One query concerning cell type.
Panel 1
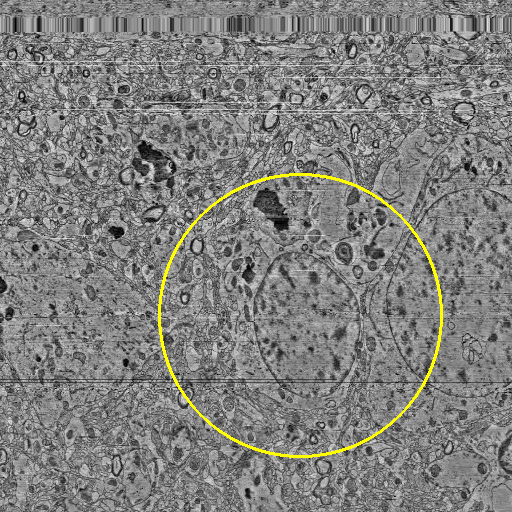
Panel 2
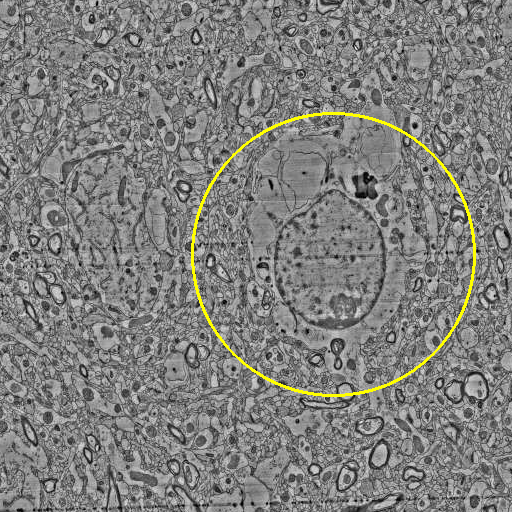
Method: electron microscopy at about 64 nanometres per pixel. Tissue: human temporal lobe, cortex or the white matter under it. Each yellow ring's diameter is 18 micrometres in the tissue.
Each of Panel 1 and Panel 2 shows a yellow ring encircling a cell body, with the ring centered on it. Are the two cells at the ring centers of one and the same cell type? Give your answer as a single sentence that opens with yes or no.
Yes, the cell centered in Panel 1 and the one in Panel 2 share a type.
